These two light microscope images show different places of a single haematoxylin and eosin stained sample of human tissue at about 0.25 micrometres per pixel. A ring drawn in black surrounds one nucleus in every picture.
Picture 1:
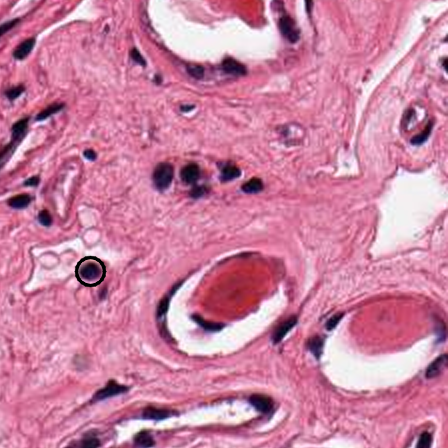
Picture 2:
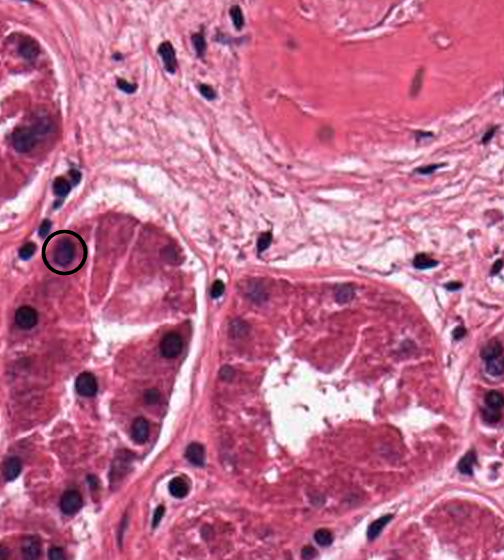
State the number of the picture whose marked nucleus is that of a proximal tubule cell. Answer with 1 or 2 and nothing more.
2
